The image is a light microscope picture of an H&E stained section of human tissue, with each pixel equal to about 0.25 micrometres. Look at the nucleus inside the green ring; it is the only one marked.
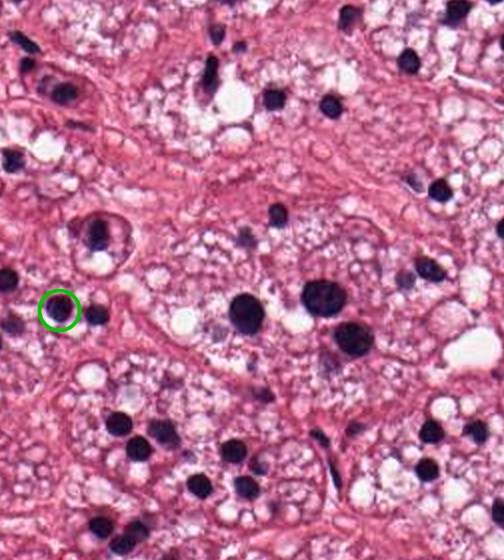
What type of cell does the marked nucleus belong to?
adrenal cortical cell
